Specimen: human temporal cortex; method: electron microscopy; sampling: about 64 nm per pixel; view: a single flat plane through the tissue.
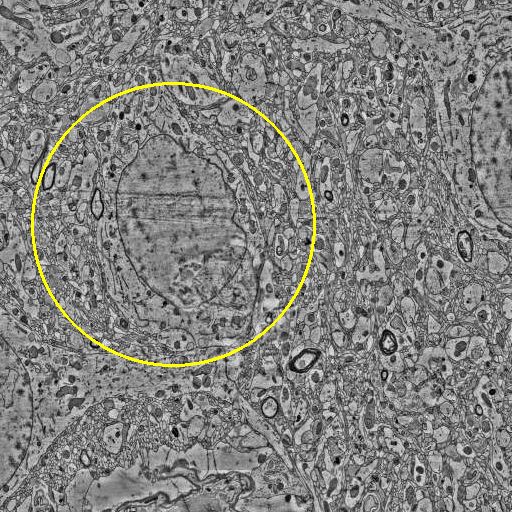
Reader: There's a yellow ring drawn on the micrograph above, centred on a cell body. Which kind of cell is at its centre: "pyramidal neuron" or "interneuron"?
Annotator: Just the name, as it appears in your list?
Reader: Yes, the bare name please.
pyramidal neuron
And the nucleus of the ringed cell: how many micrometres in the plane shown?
The ringed cell's nucleus is about 11 micrometres long and 8 micrometres wide in this plane.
